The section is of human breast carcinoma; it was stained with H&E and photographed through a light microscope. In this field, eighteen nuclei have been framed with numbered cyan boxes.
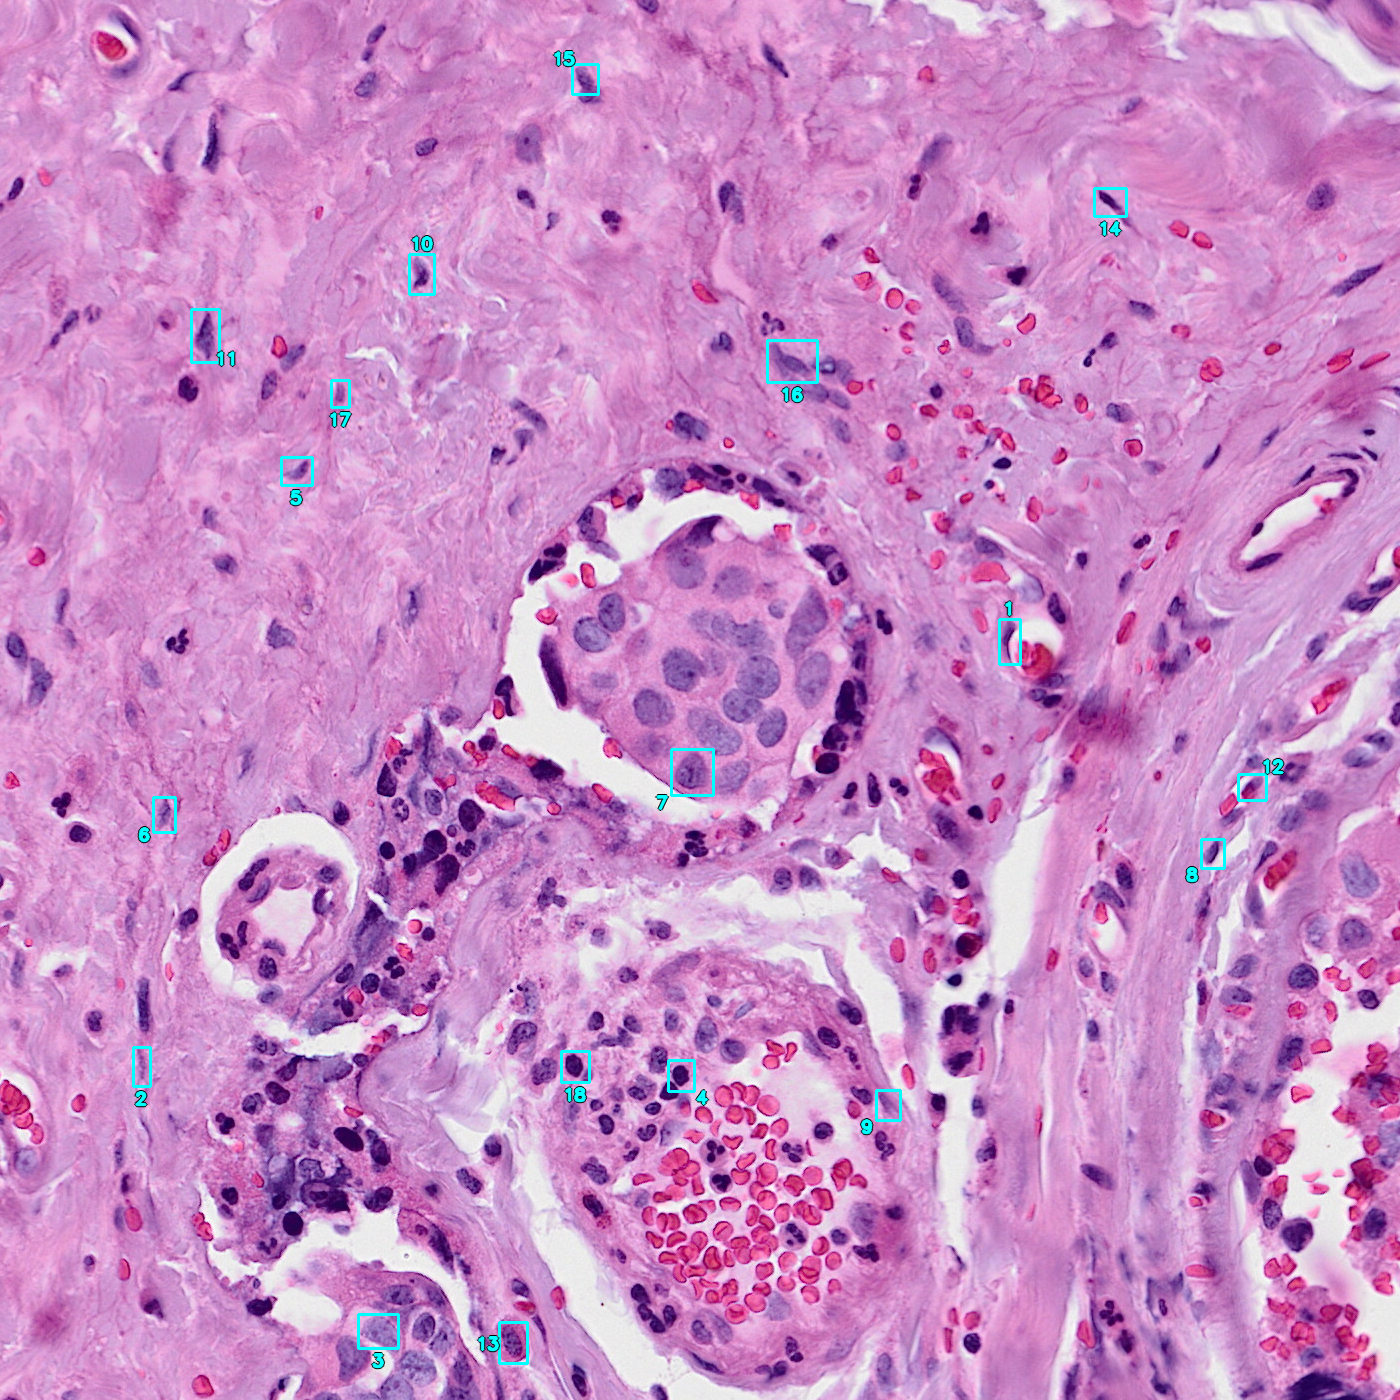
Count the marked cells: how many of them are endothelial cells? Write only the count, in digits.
3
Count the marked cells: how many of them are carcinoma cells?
2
